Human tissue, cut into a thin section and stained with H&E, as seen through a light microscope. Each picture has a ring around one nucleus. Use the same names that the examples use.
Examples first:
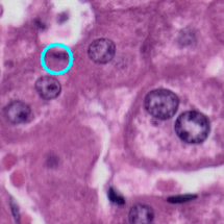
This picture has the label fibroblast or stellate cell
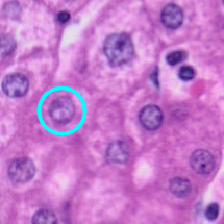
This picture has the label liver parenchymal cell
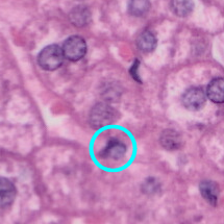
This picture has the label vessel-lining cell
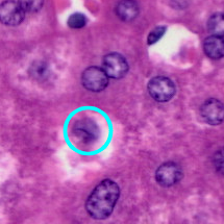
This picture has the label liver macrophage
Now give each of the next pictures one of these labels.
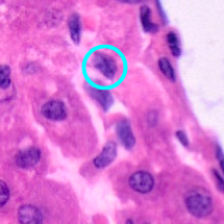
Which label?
fibroblast or stellate cell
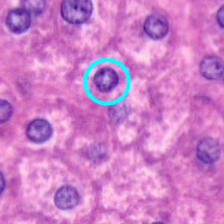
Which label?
liver parenchymal cell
